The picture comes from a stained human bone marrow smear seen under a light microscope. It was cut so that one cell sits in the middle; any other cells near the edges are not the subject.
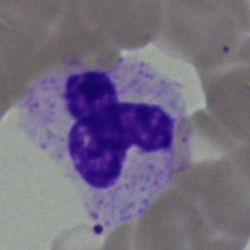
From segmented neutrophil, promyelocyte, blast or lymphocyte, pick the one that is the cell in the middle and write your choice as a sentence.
At the center of the crop sits a segmented neutrophil.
